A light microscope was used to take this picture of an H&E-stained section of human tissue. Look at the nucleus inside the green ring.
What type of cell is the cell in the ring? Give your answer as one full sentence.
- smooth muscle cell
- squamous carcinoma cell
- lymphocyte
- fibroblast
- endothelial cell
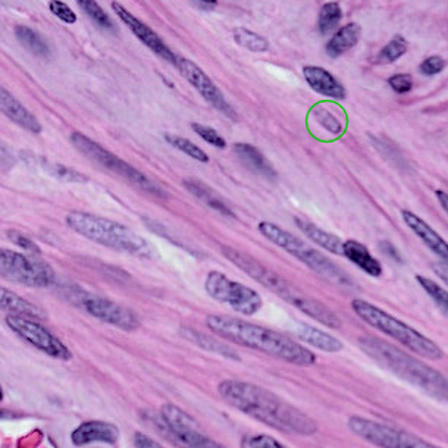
In the stained section, the cell in the ring is a smooth muscle cell.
